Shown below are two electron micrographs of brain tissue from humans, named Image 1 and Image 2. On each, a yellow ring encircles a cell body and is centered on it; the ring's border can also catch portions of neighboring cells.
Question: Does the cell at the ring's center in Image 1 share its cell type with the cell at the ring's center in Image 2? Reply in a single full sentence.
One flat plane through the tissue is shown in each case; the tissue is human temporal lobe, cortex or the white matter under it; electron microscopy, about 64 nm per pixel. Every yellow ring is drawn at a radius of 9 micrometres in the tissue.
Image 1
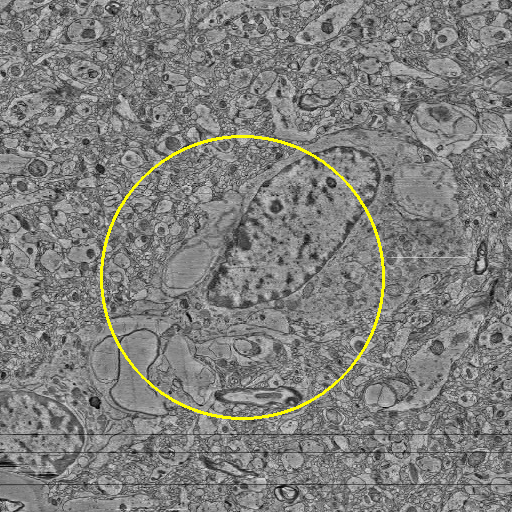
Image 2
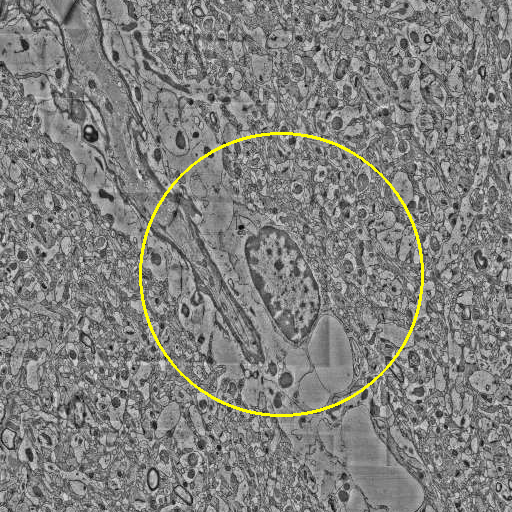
Yes, the two cells at the ring centers, in Image 1 and Image 2, share one cell type.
